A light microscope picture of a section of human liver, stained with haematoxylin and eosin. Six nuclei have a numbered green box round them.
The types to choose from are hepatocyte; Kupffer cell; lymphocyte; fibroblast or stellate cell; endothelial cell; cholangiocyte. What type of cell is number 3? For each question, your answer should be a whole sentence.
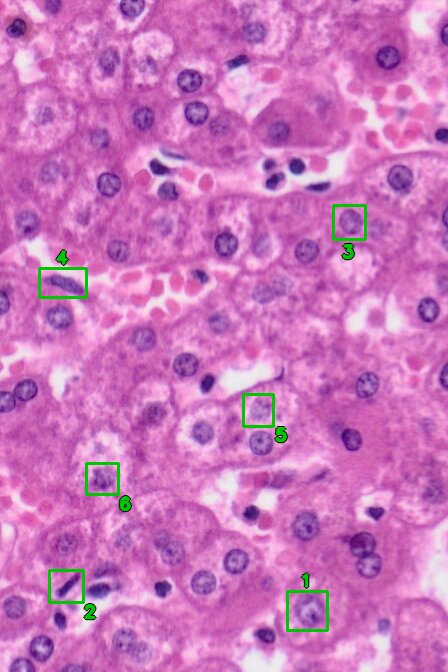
The cell that bears the number 3 is a hepatocyte.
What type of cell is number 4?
The cell that carries the label 4 is a Kupffer cell.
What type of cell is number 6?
The cell indicated by marker 6 is a hepatocyte in this section.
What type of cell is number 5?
Denoted by the label 5 in the section is a hepatocyte.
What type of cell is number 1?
The cell whose nucleus carries the number 1 is a hepatocyte.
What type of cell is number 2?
Cell 2 in the field is a fibroblast or stellate cell.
